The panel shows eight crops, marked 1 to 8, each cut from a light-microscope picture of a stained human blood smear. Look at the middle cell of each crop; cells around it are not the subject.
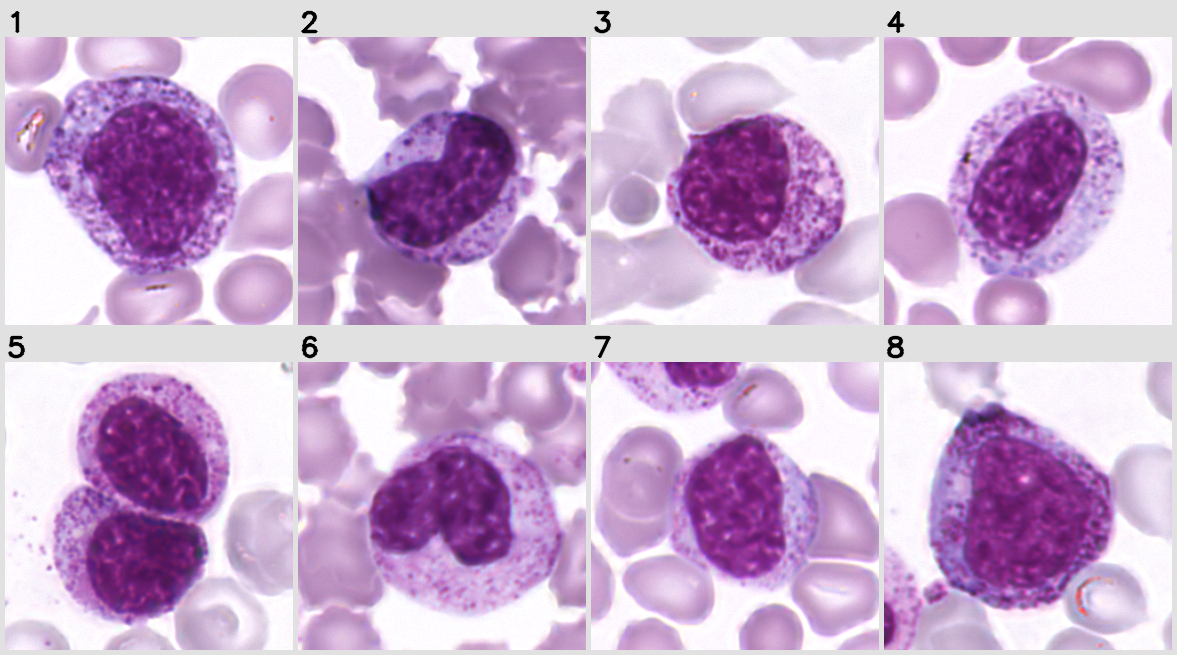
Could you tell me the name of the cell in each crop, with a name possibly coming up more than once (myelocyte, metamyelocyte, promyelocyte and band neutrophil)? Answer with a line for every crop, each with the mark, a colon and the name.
1: myelocyte
2: metamyelocyte
3: myelocyte
4: myelocyte
5: myelocyte
6: metamyelocyte
7: metamyelocyte
8: promyelocyte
